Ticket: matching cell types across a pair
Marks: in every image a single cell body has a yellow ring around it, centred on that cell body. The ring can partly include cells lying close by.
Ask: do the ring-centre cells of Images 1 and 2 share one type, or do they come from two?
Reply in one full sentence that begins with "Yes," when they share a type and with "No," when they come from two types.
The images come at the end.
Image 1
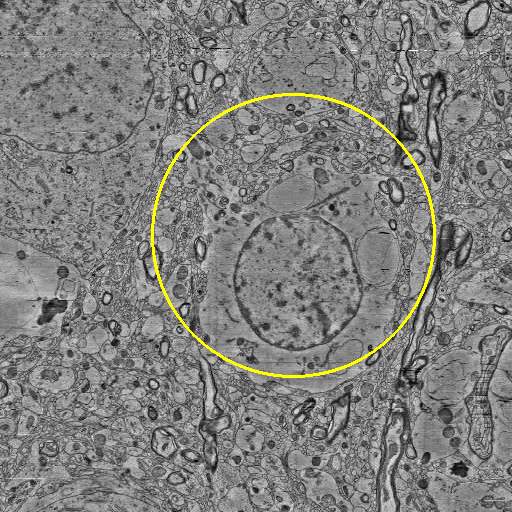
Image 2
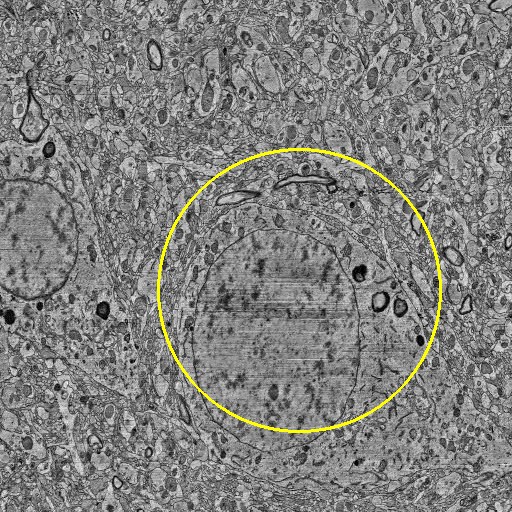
No, the cells in the centres of the rings in Image 1 and Image 2 come from two types.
